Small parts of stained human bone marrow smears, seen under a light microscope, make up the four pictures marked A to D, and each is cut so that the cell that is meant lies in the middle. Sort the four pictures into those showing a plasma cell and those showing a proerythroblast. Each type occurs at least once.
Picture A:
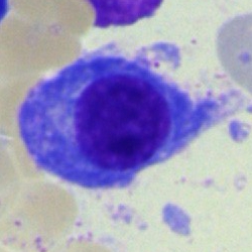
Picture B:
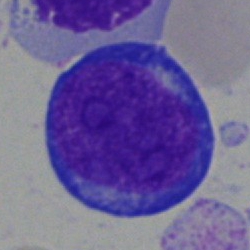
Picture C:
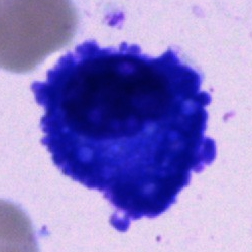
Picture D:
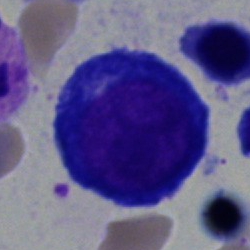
A: plasma cell
B: proerythroblast
C: plasma cell
D: proerythroblast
